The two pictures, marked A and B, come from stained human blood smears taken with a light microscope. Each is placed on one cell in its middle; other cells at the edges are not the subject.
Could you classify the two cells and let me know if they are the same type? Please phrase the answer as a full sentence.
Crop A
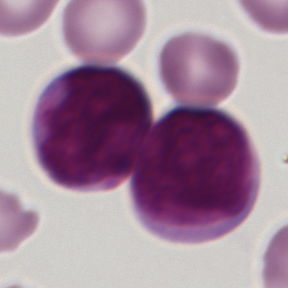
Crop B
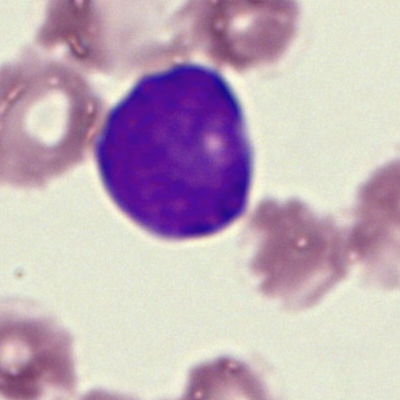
Yes, the two crops show blasts, one cell each.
